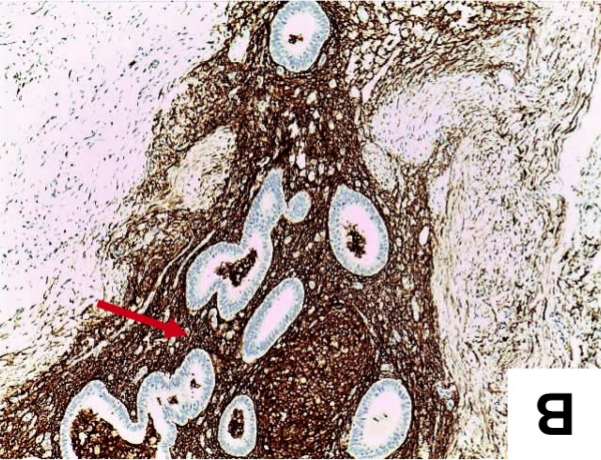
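The stroma around the glands is stained an intense brown, whereas the gland linings of columnar cells remain unstained and bluish, with some brown material in the gland lumens. Around the brown-stained island lies pale, fibrous tissue with scattered spindle cells that is not stained.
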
